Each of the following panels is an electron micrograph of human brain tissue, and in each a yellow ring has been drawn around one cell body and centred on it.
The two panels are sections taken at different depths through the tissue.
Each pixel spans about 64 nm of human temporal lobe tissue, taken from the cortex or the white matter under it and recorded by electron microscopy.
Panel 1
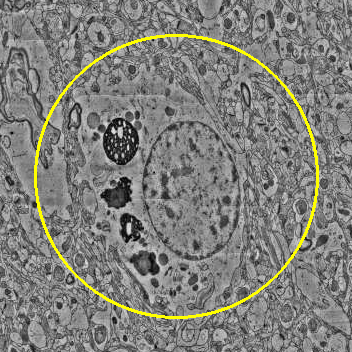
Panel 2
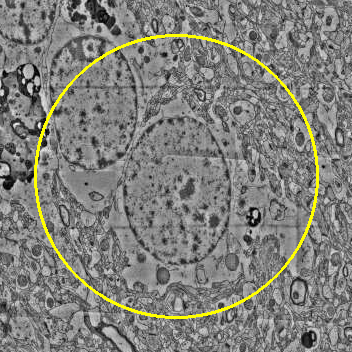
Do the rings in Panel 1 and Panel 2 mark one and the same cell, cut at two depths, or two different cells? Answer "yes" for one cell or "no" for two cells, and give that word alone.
no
